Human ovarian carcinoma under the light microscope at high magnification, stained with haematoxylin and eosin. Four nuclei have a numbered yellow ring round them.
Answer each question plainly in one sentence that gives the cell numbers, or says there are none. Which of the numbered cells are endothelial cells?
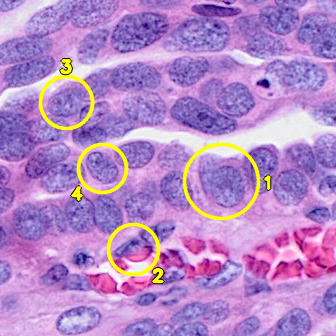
Only one marked cell, number 2, is an endothelial cell.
